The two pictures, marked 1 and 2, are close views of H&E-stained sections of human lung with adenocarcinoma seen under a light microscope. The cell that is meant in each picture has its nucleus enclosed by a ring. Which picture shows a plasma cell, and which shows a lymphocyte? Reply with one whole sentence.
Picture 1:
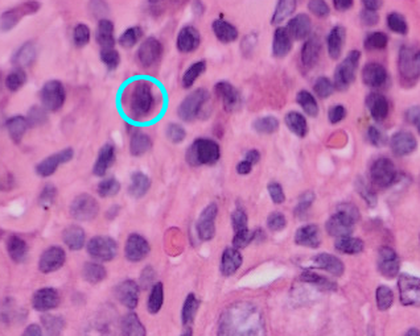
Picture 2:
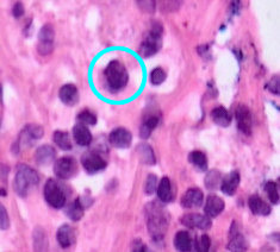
The cell in picture 1 is a plasma cell, and the one in picture 2 is a lymphocyte.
